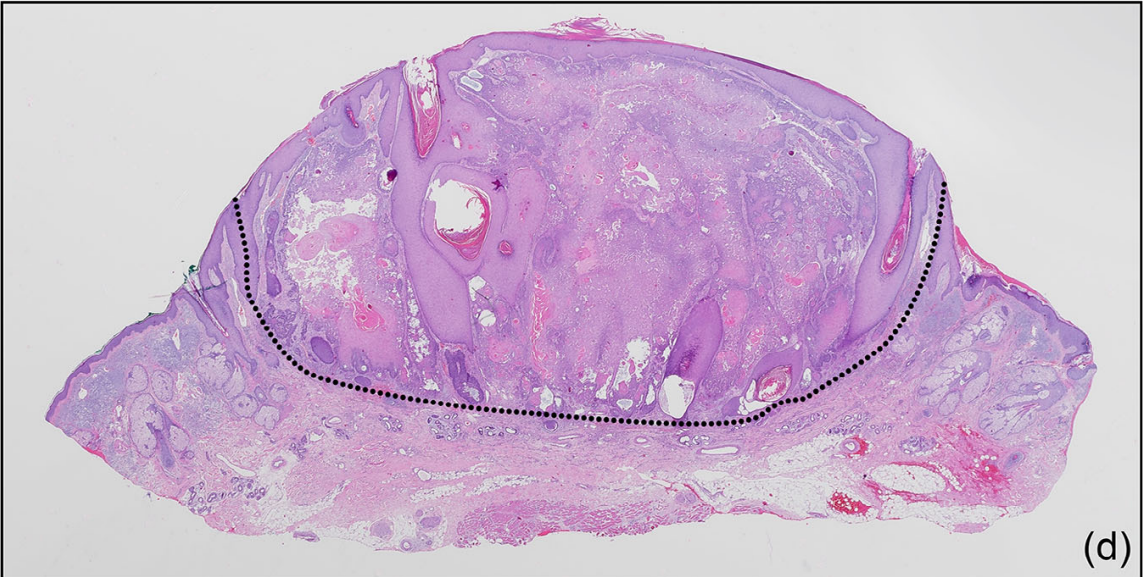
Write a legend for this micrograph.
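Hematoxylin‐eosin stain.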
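At low magnification a dome-shaped nodule rises above the surrounding skin, made of broad, deeply purple-pink masses of squamous epithelium that push down into the dermis. Within these masses are many cystic spaces, some empty and others filled with pink, layered keratin-like material and loose debris. The purple epithelial masses form a rounded, fairly well-circumscribed lower border, and below it lies paler pink dermal connective tissue with scattered vessels. At both sides the skin shows a thinner surface epidermis with smaller adnexal structures, apart from the tumor mass. The picture fits a keratinizing, cyst-forming squamous tumor that appears to have been excised with a margin of uninvolved tissue.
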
